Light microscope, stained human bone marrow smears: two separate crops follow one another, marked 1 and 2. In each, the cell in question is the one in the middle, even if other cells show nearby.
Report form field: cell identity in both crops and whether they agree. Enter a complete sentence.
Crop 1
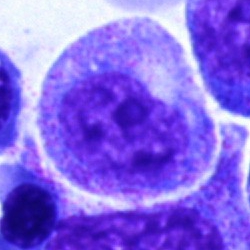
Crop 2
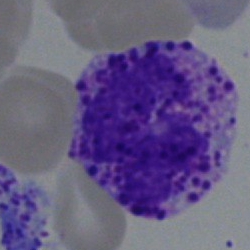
No, on this set crop 1 shows a promyelocyte and crop 2 shows a basophil.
